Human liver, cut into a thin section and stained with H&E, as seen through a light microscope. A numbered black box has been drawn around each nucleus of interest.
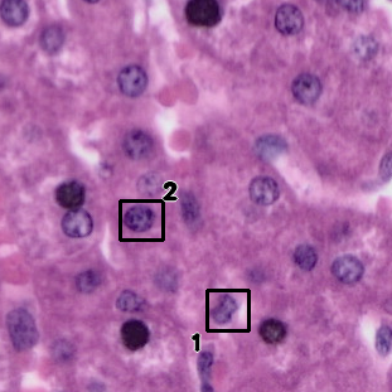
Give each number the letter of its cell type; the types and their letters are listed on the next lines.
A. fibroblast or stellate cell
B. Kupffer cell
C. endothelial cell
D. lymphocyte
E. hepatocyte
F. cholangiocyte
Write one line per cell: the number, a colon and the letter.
1: B
2: E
